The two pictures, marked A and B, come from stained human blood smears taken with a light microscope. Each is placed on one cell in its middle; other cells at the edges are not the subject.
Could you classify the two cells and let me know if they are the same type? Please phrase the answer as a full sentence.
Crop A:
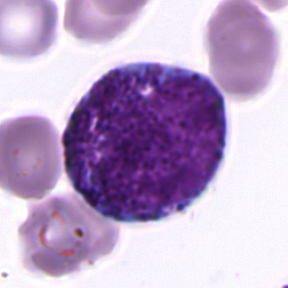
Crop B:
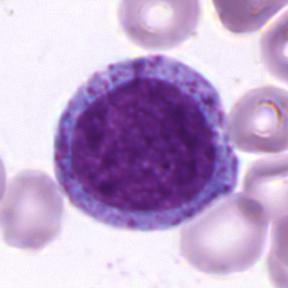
Yes, that holds, both crops show promyelocytes.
